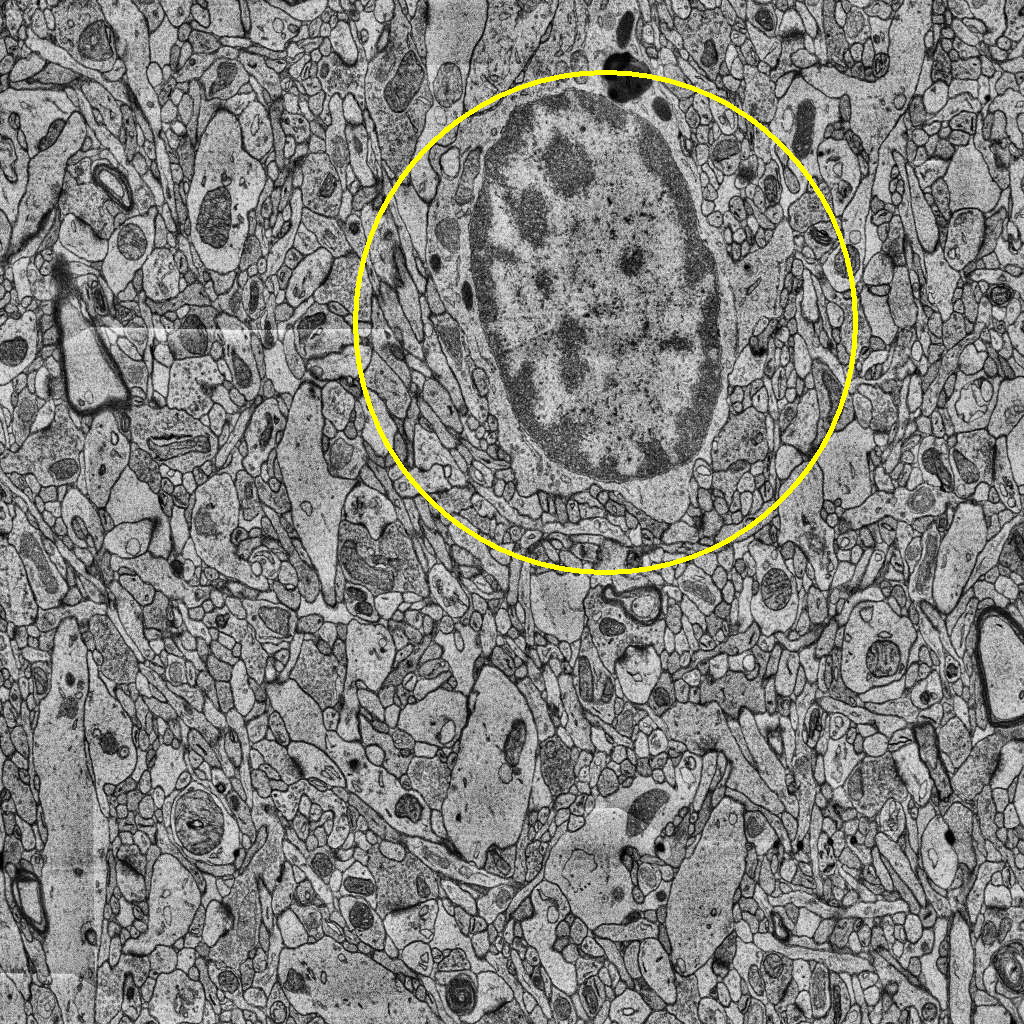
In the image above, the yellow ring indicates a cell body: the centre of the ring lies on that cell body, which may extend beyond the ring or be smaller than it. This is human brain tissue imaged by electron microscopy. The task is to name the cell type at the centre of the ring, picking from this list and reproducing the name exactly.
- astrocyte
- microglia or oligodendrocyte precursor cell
microglia or oligodendrocyte precursor cell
